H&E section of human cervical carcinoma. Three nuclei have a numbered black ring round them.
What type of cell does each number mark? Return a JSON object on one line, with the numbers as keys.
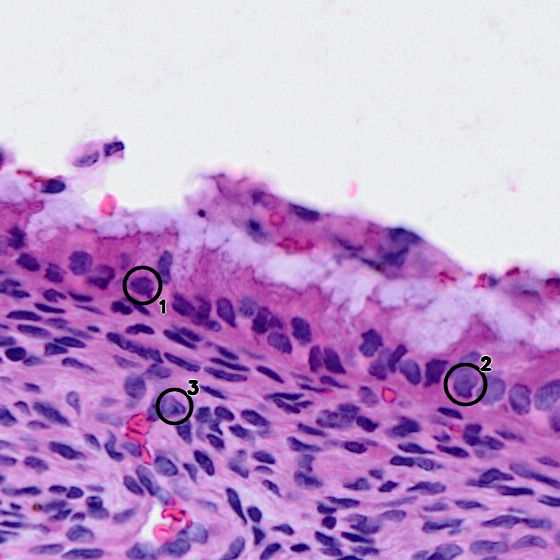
{"1": "secretory epithelial cell", "2": "secretory epithelial cell", "3": "endothelial cell"}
